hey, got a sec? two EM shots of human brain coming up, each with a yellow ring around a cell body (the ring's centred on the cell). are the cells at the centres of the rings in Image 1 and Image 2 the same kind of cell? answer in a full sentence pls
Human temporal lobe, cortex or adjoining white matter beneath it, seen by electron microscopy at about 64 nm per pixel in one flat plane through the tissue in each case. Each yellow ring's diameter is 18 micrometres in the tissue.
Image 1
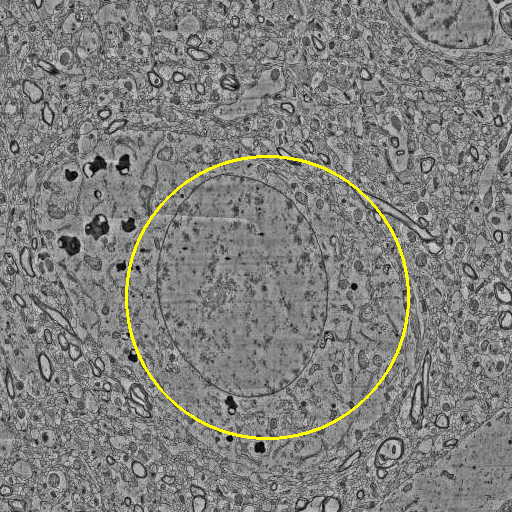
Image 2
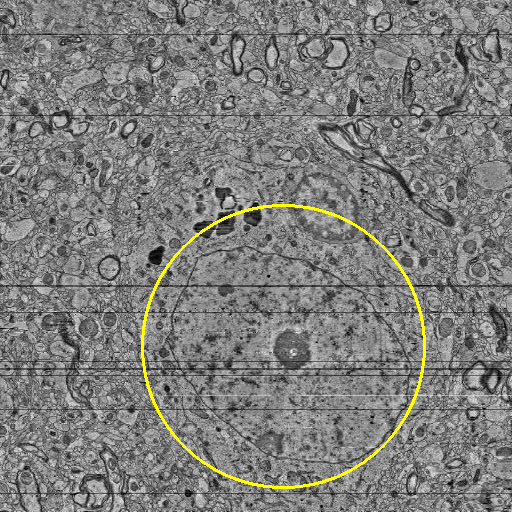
Yes, both are the same kind of cell.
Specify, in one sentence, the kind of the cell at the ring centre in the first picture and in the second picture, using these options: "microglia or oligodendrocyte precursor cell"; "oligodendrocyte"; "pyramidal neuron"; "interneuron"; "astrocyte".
Each of the ringed cells, first and second, is a pyramidal neuron.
